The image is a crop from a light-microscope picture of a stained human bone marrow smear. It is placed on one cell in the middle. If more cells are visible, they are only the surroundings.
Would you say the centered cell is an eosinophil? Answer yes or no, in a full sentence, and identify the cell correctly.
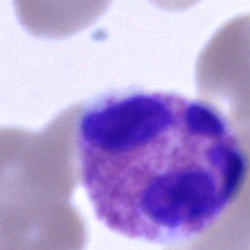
Yes, the cell in the middle of the crop is an eosinophil.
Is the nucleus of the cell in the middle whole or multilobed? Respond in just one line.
Nuclear material here is separated into two or more segments.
